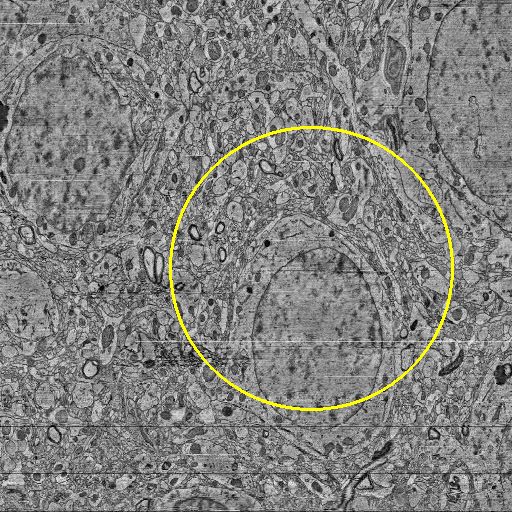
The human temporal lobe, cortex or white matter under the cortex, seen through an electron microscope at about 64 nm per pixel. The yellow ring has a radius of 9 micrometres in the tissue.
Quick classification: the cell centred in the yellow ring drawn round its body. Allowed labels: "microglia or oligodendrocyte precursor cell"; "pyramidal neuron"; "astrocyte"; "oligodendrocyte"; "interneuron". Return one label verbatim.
pyramidal neuron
